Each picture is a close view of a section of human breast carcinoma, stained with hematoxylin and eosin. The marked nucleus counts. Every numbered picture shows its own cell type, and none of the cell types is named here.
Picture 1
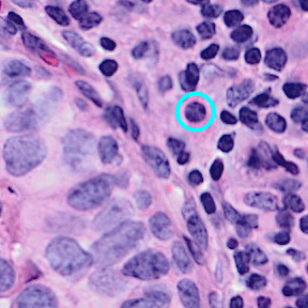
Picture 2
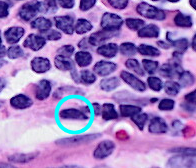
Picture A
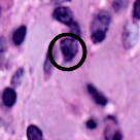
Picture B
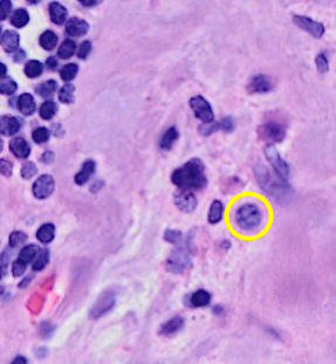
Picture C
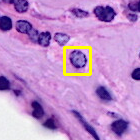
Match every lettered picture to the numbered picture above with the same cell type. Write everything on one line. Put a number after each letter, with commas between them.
A 2, B 1, C 1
